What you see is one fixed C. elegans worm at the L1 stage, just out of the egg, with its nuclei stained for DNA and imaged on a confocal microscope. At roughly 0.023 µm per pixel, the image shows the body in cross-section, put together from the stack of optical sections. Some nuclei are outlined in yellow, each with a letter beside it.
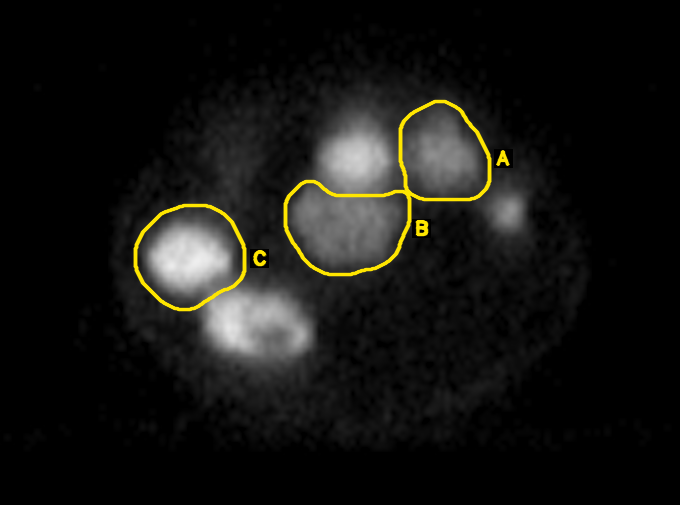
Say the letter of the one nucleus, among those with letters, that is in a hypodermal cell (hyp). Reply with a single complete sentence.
A is the one that belongs to a hypodermal cell (hyp).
